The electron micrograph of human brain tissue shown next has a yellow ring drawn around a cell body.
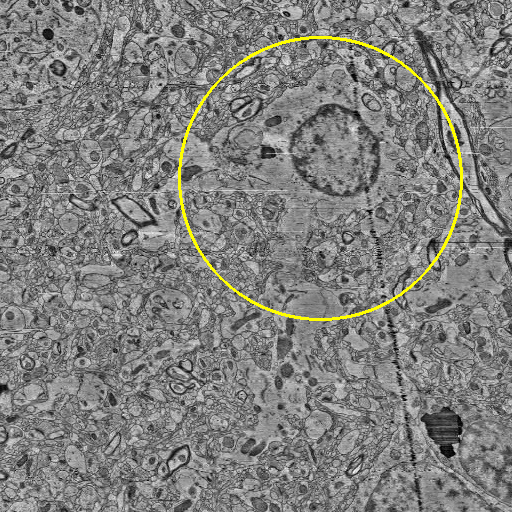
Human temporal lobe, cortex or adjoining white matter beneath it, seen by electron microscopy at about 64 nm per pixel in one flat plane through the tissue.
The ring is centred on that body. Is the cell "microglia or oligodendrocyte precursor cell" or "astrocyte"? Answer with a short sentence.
The cell in question is an astrocyte.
